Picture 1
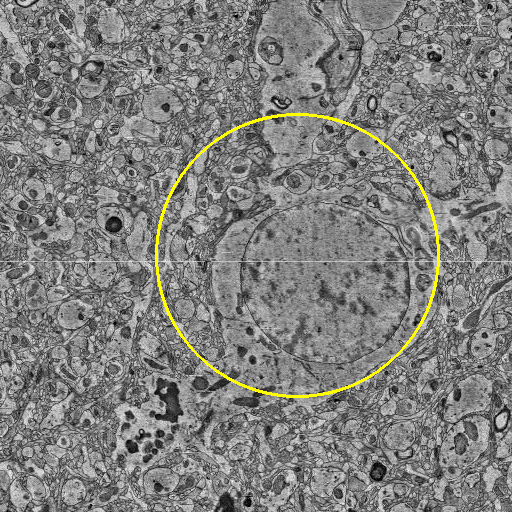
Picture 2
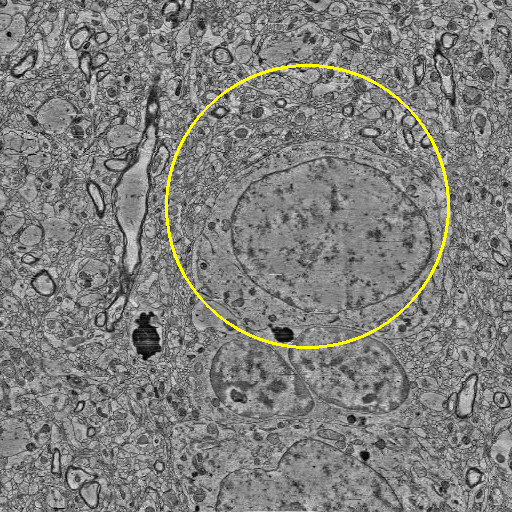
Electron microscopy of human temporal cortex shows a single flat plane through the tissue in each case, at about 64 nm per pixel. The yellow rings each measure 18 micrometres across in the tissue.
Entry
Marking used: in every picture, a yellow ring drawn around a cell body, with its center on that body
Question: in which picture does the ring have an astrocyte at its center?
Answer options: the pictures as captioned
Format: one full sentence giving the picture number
Picture 1 is where the ring's center falls on the requested cell.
